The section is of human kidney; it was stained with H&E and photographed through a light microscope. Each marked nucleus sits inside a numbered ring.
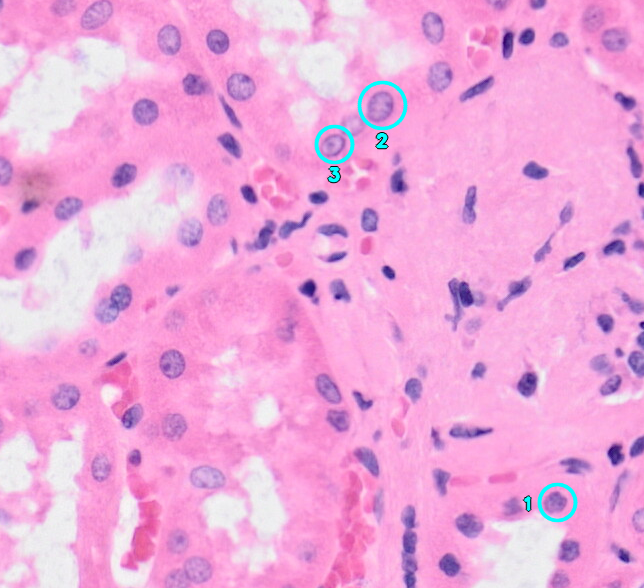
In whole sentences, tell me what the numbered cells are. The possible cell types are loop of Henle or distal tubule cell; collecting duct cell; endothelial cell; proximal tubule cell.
Cell 1 is a loop of Henle or distal tubule cell. Cells 2 and 3 are proximal tubule cells.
